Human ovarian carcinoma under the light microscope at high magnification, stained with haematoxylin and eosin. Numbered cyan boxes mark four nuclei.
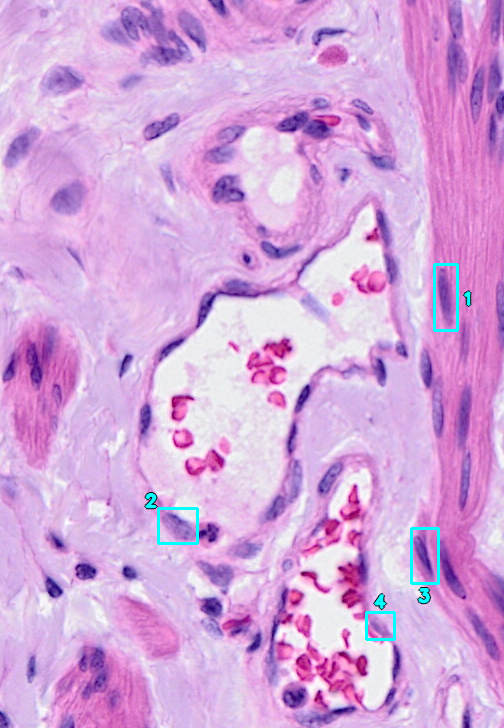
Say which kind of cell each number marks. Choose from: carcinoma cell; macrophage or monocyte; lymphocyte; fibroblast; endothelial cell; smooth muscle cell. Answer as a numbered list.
1. smooth muscle cell
2. endothelial cell
3. smooth muscle cell
4. endothelial cell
